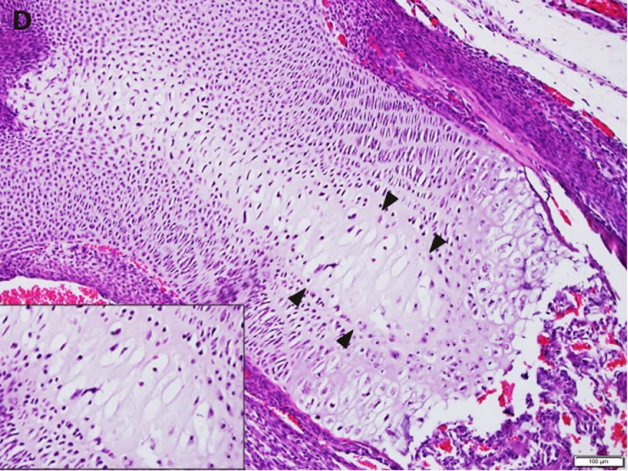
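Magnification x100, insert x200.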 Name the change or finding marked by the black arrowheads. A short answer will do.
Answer: Loss of columnar organisation of chondrocytes.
